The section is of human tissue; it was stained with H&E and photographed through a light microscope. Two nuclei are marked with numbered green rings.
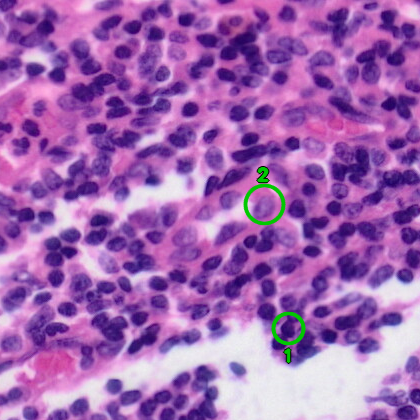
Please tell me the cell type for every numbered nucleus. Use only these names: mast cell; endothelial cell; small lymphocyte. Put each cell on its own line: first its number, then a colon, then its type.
1: small lymphocyte
2: endothelial cell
